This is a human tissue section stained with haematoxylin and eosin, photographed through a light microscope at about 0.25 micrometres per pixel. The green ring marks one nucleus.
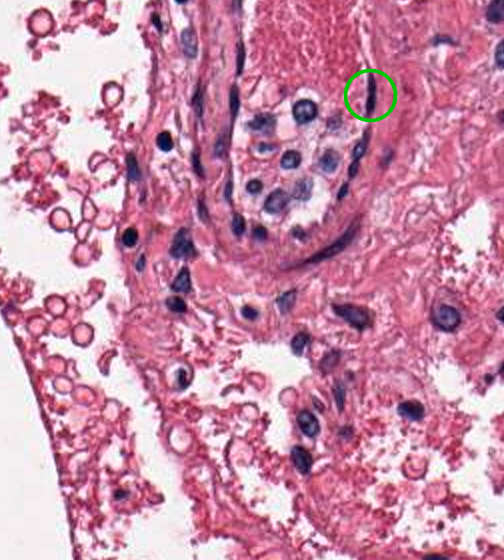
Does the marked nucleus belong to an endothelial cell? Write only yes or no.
yes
